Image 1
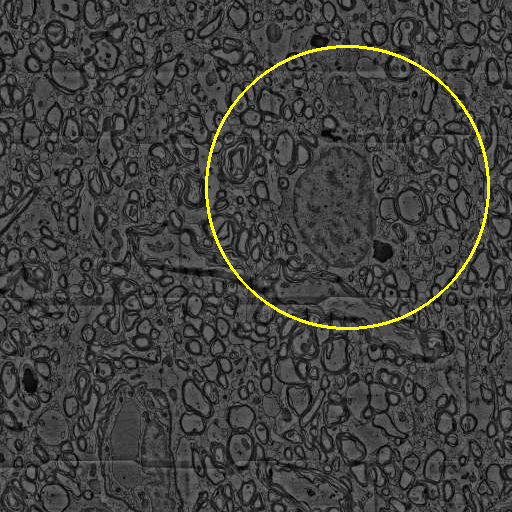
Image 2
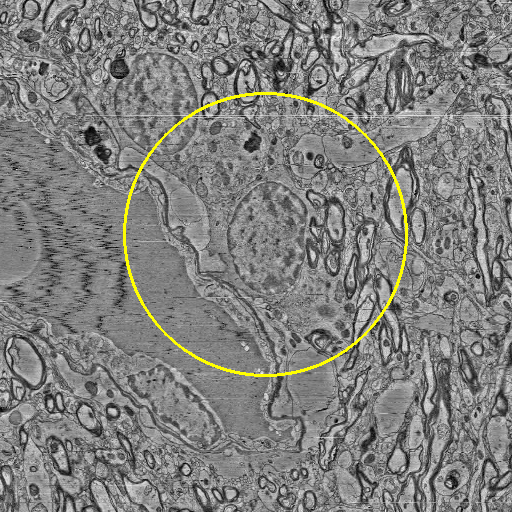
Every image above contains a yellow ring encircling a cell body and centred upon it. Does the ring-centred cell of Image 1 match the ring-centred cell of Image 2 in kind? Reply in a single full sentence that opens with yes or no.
Yes, the cell at the ring's centre in Image 1 is the same kind as that in Image 2.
